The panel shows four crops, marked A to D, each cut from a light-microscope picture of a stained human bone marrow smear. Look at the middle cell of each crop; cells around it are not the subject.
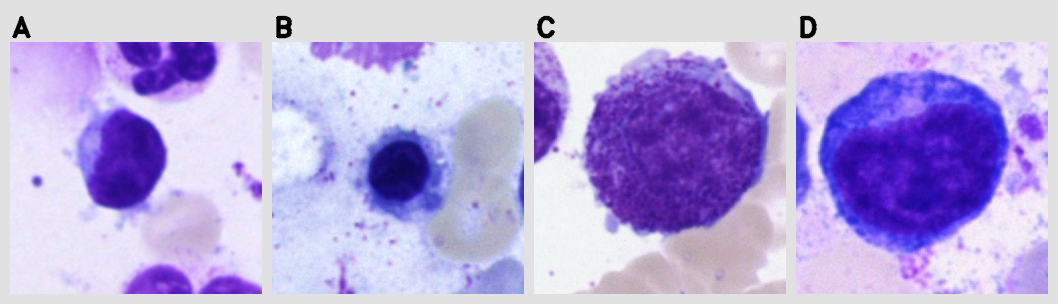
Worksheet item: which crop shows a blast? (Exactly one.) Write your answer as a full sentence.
Crop D, and no other, shows a blast.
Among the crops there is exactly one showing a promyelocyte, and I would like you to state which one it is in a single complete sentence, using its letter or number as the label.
Among the crops given, only crop C shows a promyelocyte.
